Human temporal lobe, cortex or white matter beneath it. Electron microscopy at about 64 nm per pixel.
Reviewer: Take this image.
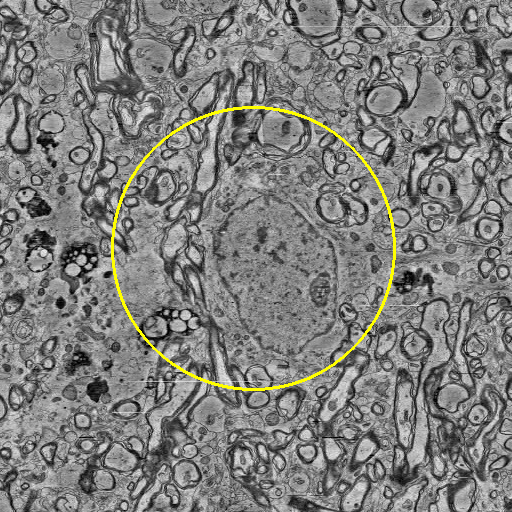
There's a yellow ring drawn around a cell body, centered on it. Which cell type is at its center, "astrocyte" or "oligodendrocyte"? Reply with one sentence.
At the center of the yellow ring is an astrocyte.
